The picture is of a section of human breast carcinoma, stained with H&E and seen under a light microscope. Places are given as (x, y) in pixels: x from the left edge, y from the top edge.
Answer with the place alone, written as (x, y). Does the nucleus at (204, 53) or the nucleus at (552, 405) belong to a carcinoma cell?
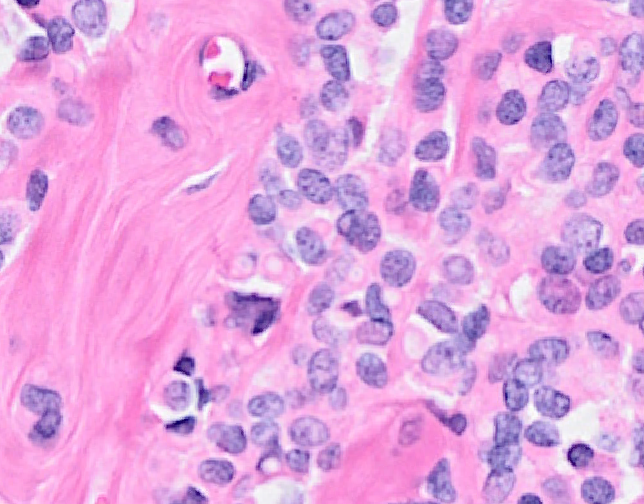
(552, 405)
